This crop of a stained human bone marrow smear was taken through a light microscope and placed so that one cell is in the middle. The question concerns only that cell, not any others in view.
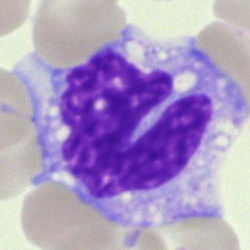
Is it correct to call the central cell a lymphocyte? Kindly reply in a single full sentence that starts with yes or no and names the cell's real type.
No, the middle cell is actually a monocyte rather than a lymphocyte.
